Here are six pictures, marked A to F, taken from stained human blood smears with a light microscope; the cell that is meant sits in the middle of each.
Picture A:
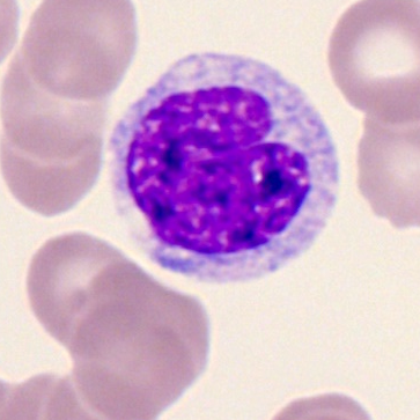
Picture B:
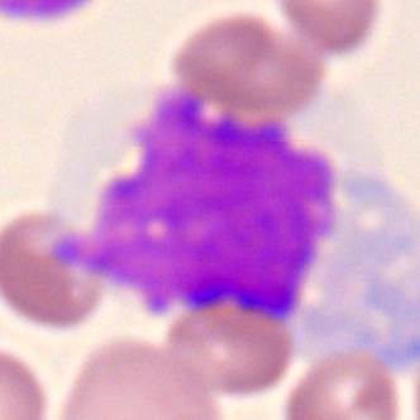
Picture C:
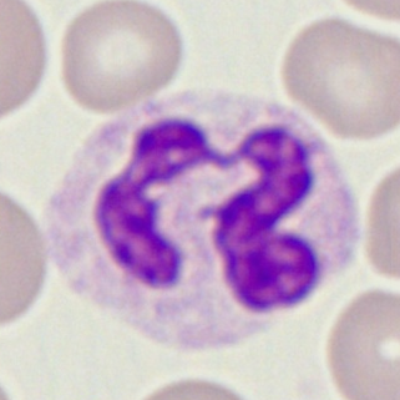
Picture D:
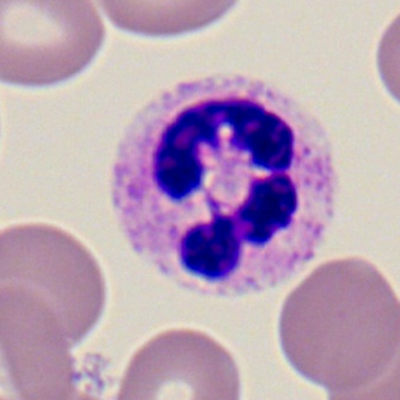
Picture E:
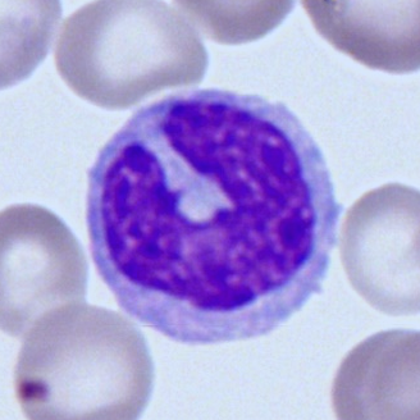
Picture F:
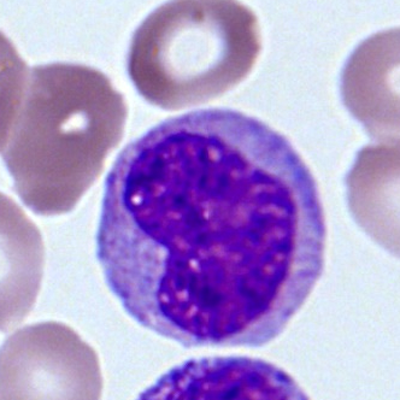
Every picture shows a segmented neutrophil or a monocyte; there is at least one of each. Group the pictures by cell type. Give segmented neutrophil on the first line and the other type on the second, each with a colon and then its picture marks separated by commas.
segmented neutrophil: C, D
monocyte: A, B, E, F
